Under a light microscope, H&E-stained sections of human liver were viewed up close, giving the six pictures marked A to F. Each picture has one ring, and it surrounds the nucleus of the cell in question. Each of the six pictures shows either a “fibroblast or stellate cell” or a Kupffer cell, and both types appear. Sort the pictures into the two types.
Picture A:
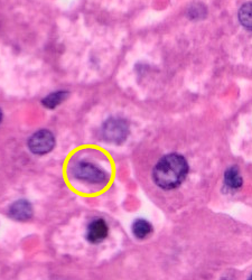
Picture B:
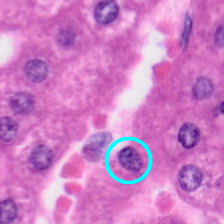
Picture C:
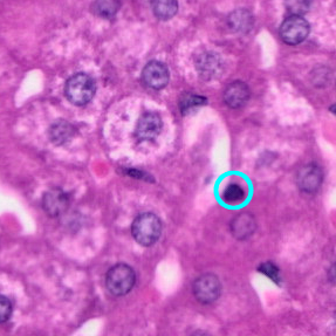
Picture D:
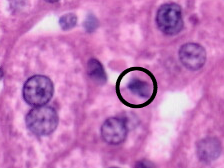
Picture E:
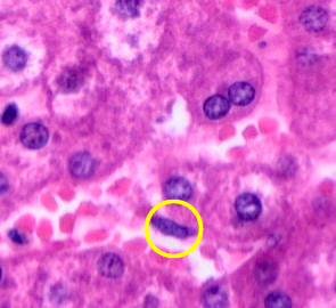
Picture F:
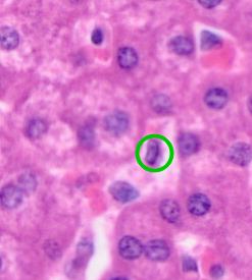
A: Kupffer cell
B: fibroblast or stellate cell
C: fibroblast or stellate cell
D: fibroblast or stellate cell
E: Kupffer cell
F: Kupffer cell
